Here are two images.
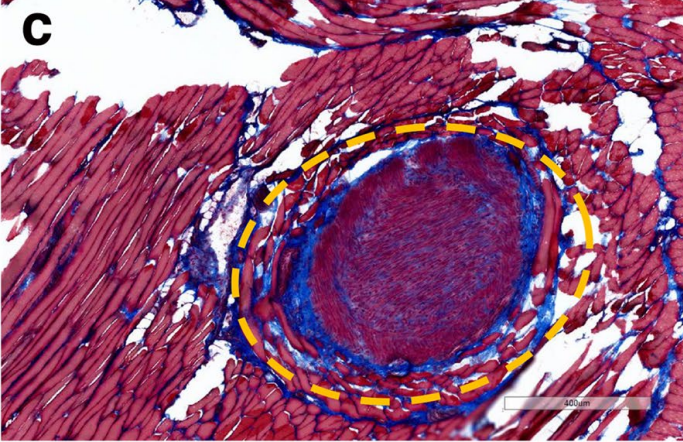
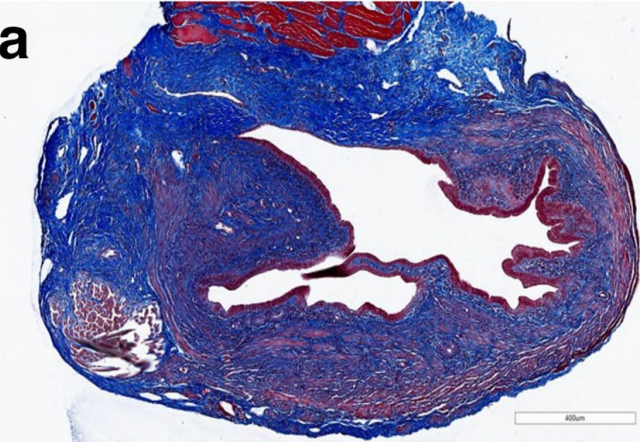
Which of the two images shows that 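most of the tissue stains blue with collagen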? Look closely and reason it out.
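First image: the outlined mass is mostly red-purple with only a thin blue rim. Second image: blue-stained fibrous tissue dominates the whole section.
Hence: the second image.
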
